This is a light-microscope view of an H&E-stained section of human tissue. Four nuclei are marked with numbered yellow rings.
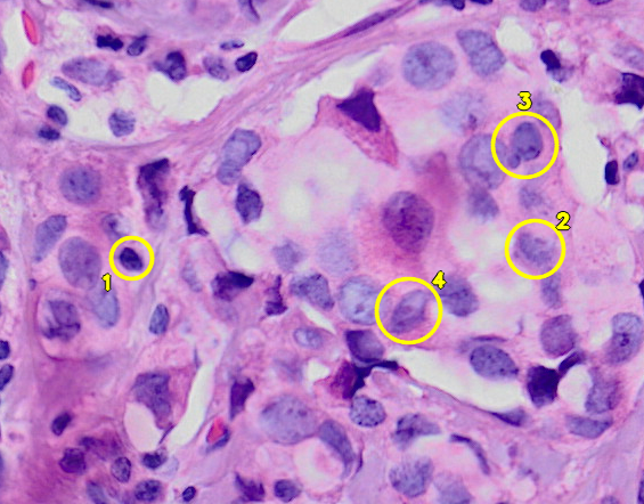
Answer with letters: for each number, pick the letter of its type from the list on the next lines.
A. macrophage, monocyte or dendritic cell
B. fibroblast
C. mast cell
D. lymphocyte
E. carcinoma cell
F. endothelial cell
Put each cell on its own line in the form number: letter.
1: D
2: E
3: E
4: E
